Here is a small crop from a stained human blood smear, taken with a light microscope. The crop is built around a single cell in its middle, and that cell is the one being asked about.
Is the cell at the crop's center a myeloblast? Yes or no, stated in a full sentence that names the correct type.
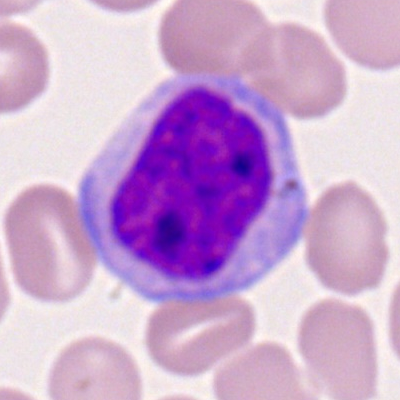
No, the middle of this crop is occupied by a monocyte rather than a myeloblast.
